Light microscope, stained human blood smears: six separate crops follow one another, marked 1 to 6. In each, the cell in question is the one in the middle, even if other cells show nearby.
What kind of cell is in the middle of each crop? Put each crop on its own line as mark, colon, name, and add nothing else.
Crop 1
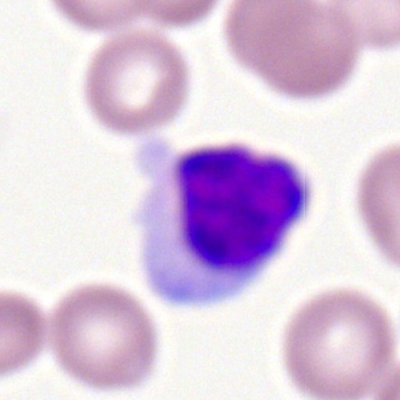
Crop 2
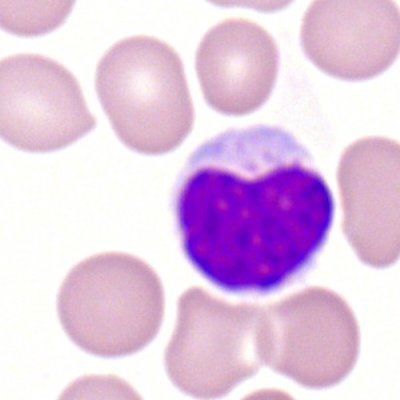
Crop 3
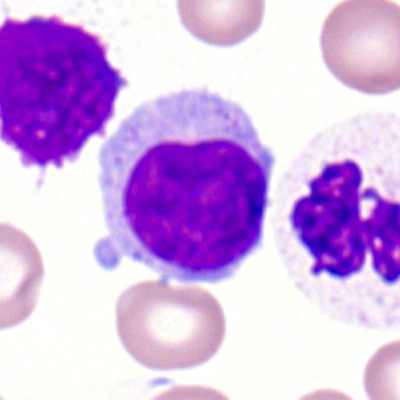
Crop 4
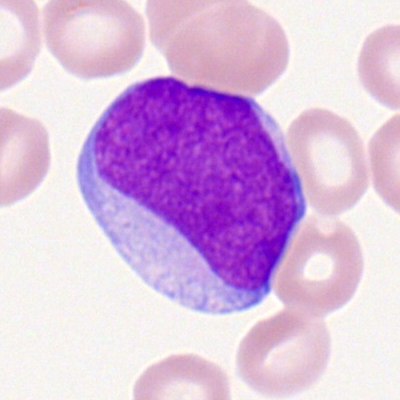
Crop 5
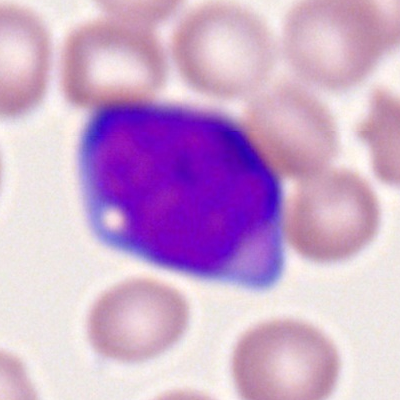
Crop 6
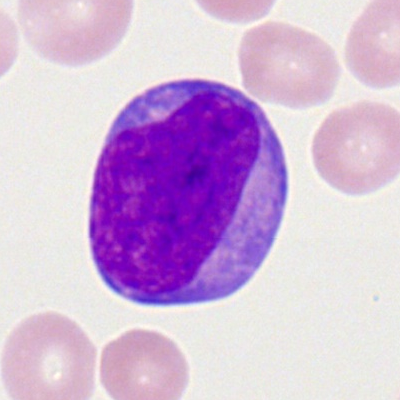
1: lymphocyte
2: lymphocyte
3: lymphocyte
4: myeloblast
5: myeloblast
6: myeloblast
